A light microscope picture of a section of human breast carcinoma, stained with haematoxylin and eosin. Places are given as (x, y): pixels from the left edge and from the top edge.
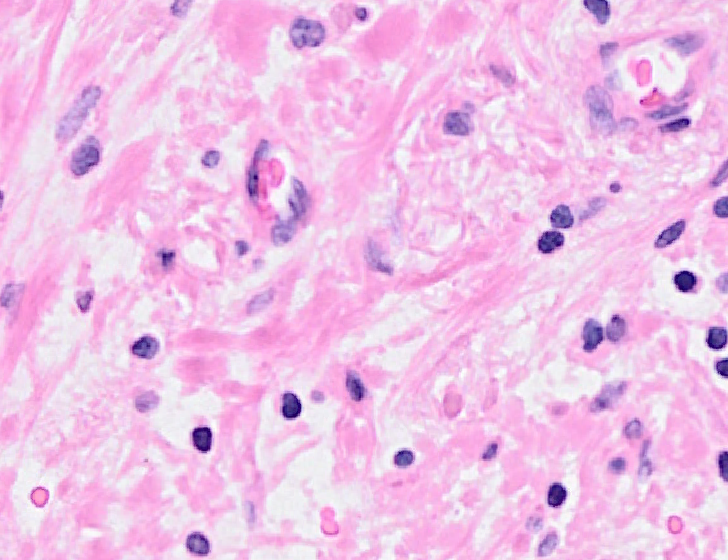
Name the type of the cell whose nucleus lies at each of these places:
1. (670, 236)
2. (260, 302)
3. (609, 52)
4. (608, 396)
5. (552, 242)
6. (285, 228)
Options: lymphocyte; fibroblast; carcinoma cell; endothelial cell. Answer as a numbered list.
1. lymphocyte
2. fibroblast
3. endothelial cell
4. fibroblast
5. lymphocyte
6. endothelial cell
